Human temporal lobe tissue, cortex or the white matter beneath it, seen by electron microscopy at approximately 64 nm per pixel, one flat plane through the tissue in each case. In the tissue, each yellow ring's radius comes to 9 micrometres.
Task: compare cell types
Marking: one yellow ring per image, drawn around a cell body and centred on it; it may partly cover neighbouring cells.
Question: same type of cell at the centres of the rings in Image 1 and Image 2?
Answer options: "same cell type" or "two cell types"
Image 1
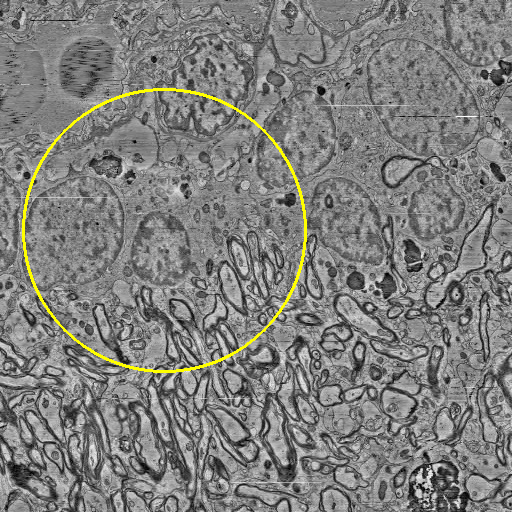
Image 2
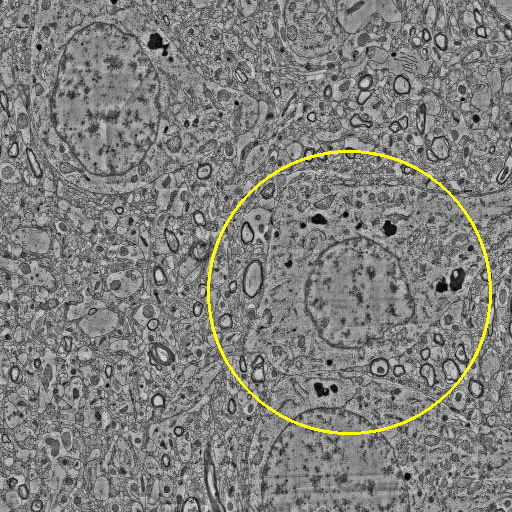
two cell types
